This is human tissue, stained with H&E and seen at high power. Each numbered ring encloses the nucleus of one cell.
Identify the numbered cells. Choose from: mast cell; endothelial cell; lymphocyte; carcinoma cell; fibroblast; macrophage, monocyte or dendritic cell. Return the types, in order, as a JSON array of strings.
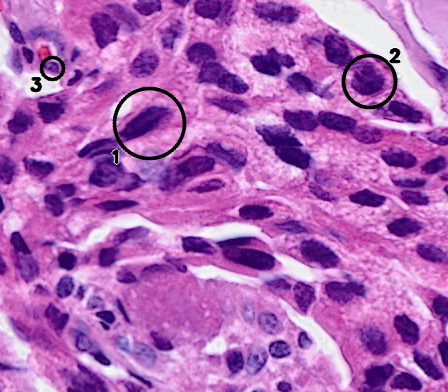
["carcinoma cell", "carcinoma cell", "endothelial cell"]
